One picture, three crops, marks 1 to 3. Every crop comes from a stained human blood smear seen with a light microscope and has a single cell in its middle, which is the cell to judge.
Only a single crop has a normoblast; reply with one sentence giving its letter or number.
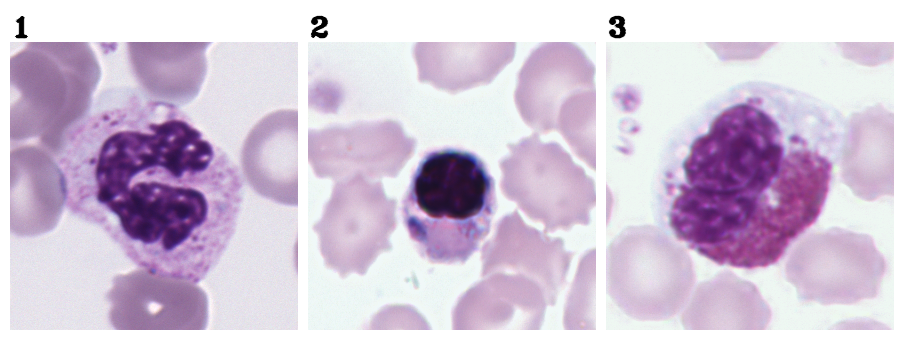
It is in crop 2, among all the crops, that a normoblast is present.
